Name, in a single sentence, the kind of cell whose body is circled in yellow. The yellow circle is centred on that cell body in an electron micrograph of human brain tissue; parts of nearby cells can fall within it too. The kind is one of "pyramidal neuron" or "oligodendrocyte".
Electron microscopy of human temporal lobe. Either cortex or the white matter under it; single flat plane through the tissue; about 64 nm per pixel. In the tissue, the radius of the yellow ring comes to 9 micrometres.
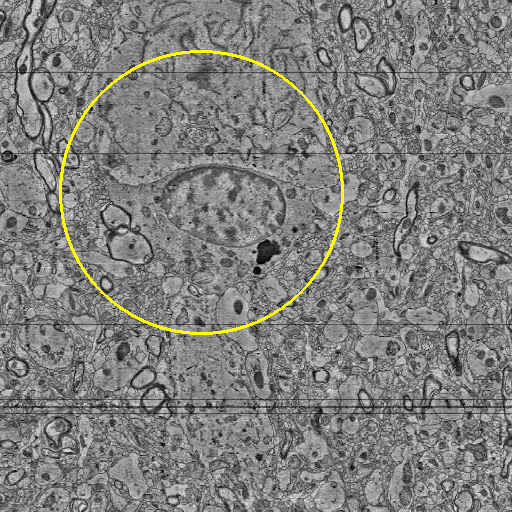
The circled cell body belongs to an oligodendrocyte.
